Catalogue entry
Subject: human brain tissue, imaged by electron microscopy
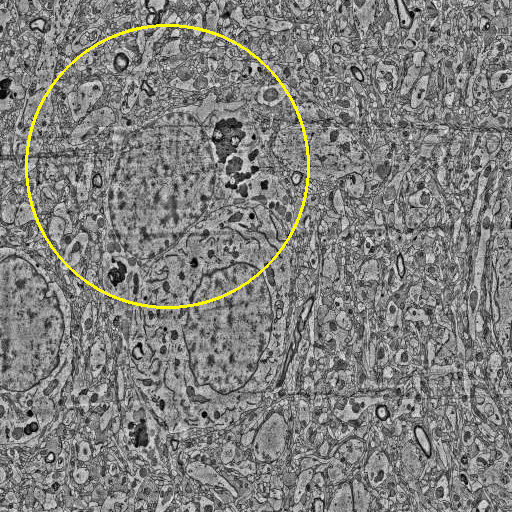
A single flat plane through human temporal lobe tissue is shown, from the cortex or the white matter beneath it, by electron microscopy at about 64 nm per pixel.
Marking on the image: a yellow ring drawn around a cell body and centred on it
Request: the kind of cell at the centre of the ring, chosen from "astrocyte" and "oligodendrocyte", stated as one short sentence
The ring has an astrocyte at its centre.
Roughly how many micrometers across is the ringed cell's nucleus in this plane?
Roughly 10 by 6 micrometres in this plane, for the nucleus of the ringed cell.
